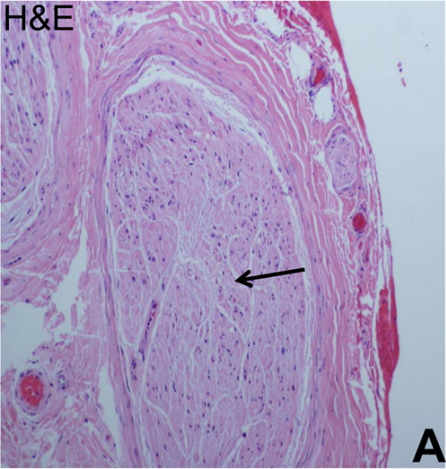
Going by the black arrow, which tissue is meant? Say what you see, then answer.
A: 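A rounded bundle of fibres is enclosed by a layered sheath. Scattered elongated nuclei lie within the bundle. That points to this answer: nerve fascicle.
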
